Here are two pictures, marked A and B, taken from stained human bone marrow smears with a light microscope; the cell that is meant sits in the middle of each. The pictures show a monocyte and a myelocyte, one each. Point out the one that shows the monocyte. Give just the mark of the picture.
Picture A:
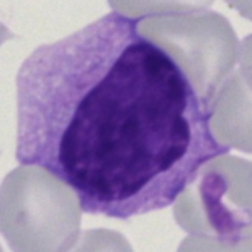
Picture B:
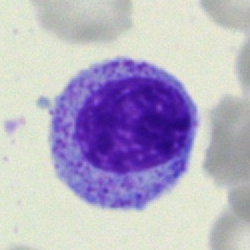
A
